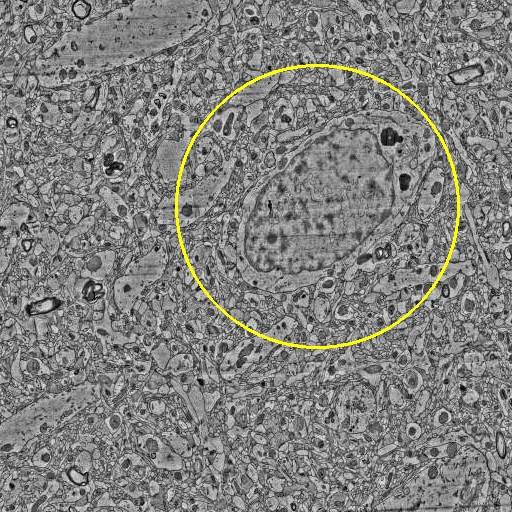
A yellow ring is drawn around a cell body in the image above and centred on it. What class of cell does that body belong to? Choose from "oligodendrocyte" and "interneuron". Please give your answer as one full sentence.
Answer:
The yellow ring above is centred on the cell body of an interneuron.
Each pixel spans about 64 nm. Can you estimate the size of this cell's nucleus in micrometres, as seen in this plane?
The nucleus is approximately 11 micrometers long by 7 micrometers wide in this plane.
